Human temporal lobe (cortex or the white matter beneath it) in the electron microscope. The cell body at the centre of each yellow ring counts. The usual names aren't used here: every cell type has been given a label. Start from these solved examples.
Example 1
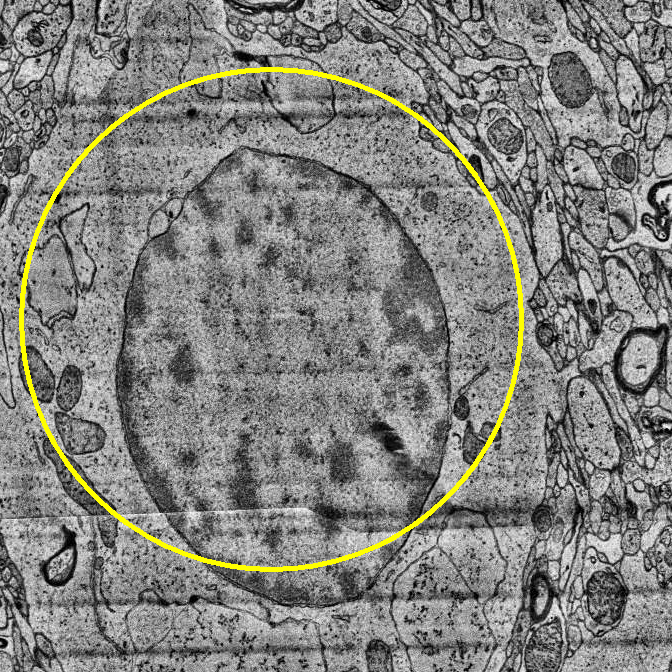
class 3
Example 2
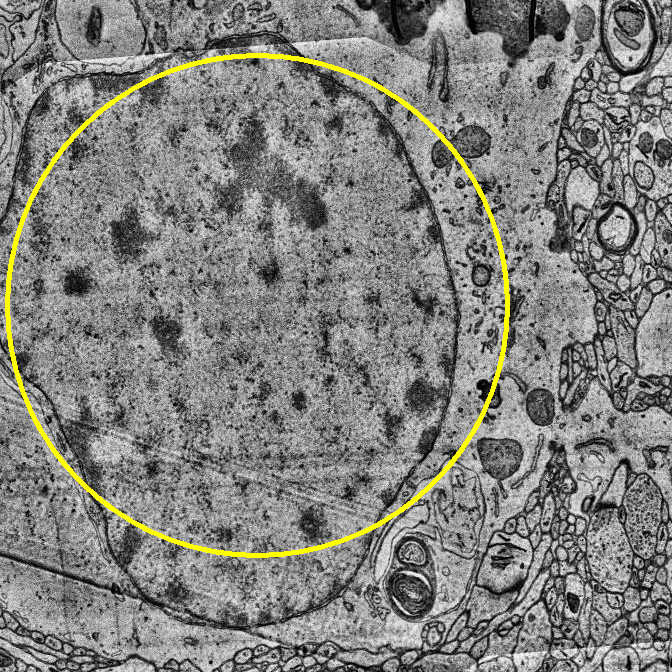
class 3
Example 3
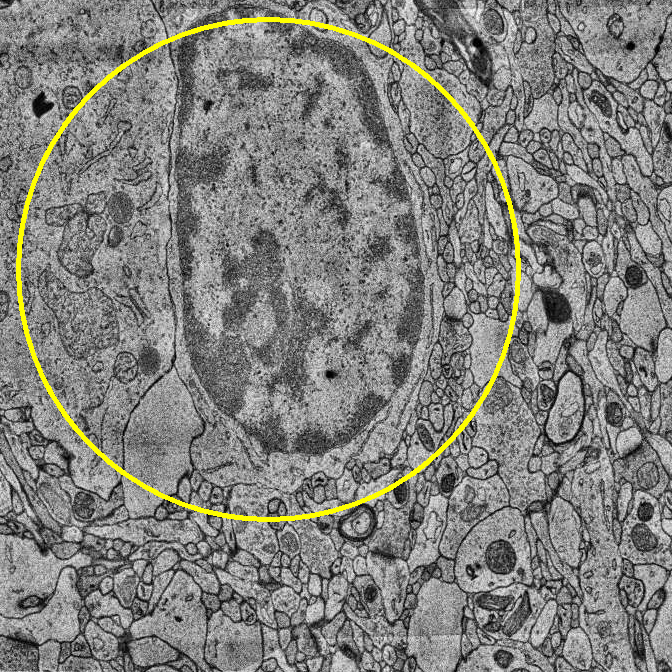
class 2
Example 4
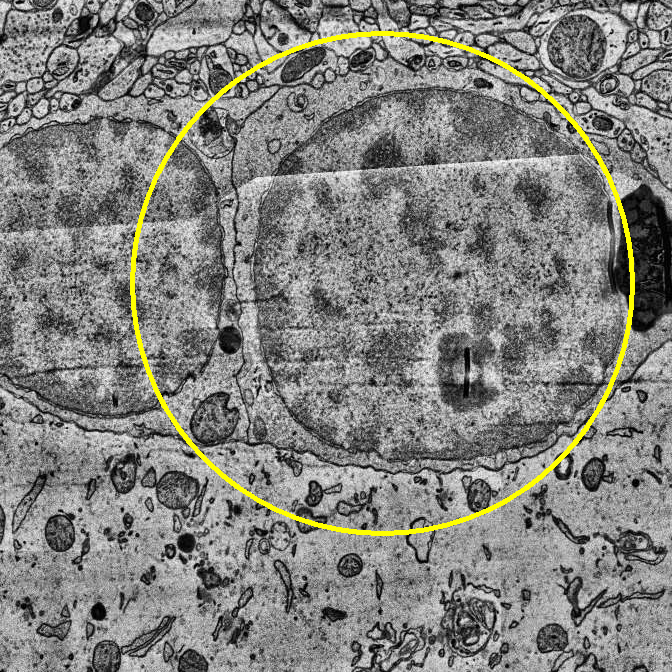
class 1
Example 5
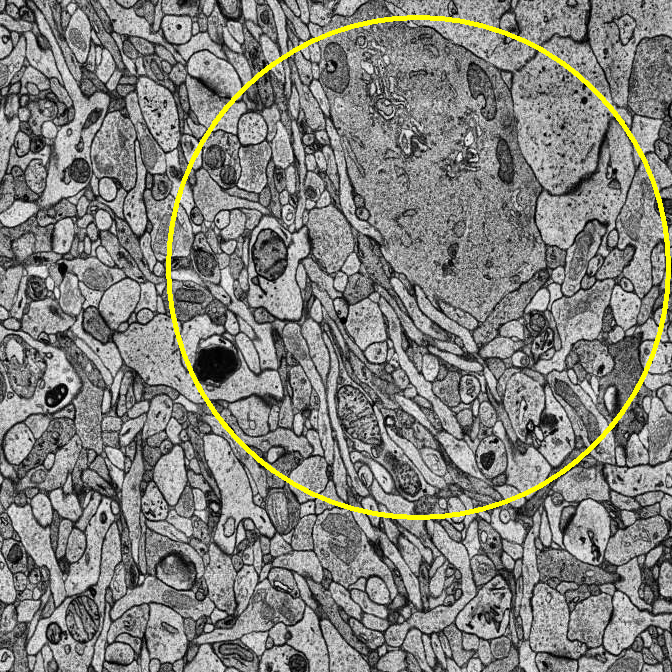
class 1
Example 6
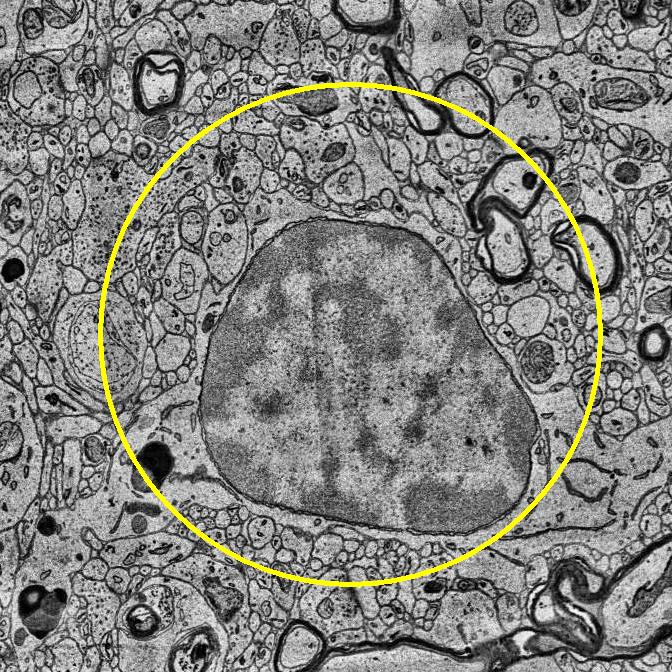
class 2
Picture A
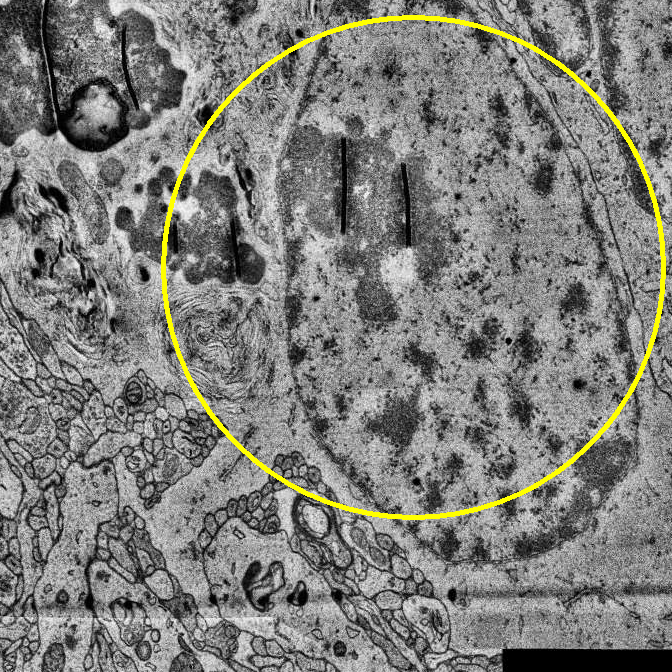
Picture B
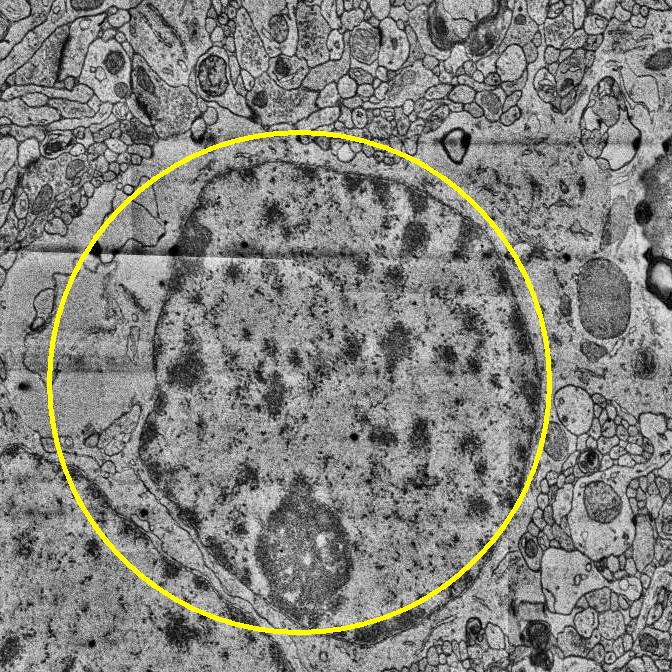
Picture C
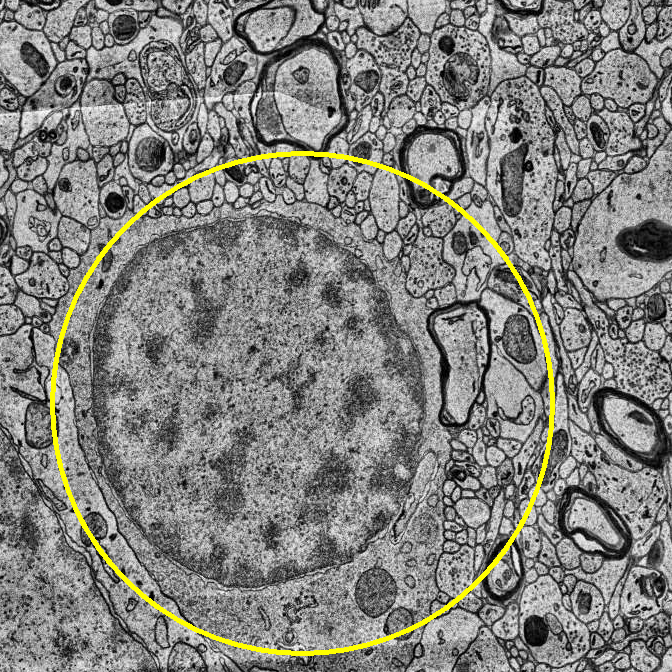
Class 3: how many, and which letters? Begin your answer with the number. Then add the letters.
Count: 2 (A, B)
